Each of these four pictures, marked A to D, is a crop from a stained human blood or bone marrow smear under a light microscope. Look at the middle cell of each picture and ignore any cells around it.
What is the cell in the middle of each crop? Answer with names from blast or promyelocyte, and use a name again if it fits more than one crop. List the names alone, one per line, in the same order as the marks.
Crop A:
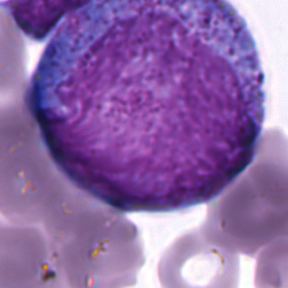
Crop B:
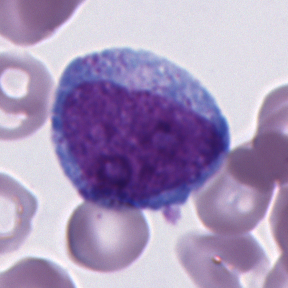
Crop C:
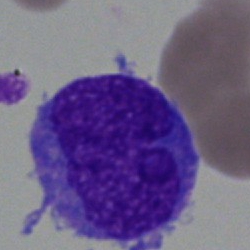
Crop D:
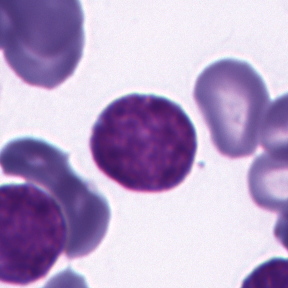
promyelocyte
promyelocyte
blast
blast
